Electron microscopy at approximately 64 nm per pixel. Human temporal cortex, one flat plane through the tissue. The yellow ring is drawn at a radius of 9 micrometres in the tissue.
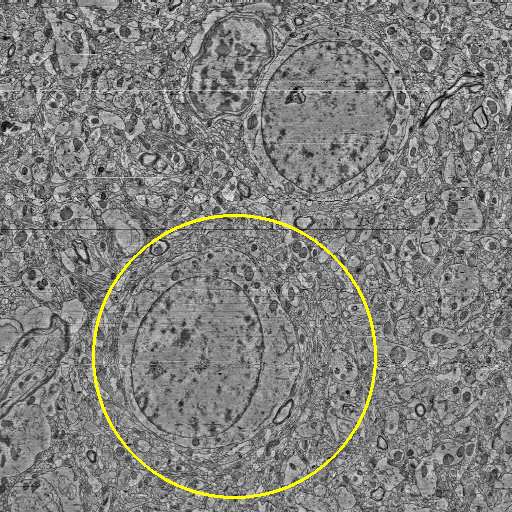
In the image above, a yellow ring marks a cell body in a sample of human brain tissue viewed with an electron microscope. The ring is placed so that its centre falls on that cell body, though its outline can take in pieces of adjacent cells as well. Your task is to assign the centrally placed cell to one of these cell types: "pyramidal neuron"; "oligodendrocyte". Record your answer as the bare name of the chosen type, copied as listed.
pyramidal neuron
